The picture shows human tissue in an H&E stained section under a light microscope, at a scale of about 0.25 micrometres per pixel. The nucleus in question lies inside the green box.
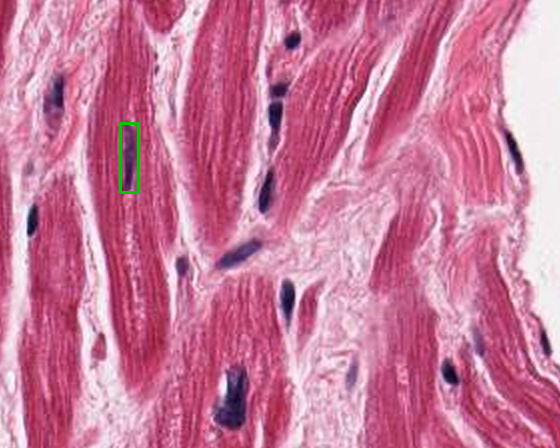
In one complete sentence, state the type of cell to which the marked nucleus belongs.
A nucleus of a cardiomyocyte is the one that is marked.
